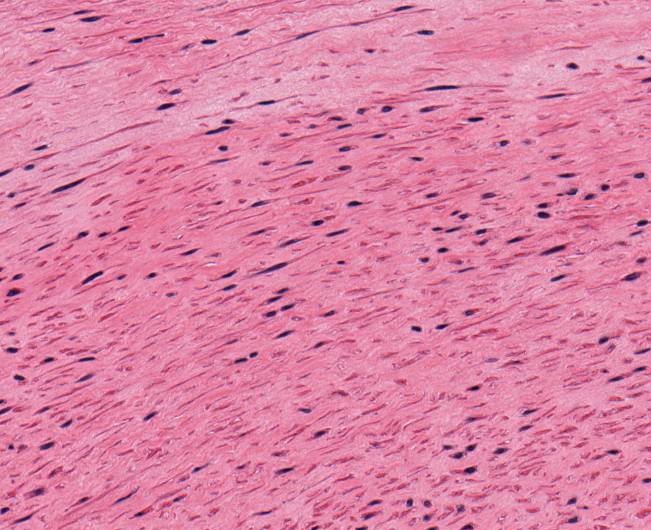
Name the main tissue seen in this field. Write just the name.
tunica media of an artery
